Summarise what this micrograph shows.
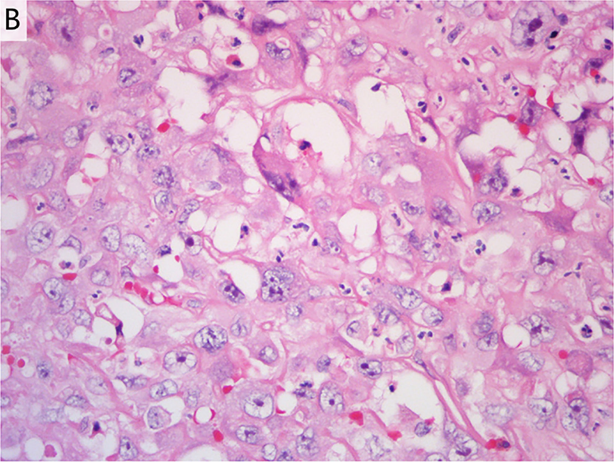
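A malignant vascular tumour made of large, pleomorphic cells with abundant pink cytoplasm and enlarged oval nuclei bearing open chromatin and conspicuous nucleoli, with scattered larger dark atypical nuclei. Many cells contain or line clear vacuoles and irregular slit-like spaces, several of which hold red blood cells, set in a pale pink background.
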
